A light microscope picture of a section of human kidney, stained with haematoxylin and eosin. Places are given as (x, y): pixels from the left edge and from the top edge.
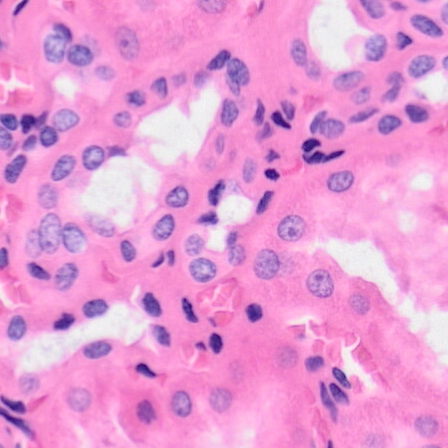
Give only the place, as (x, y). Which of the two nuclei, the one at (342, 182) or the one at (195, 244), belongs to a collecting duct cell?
(195, 244)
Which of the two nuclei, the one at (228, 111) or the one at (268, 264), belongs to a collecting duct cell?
(228, 111)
